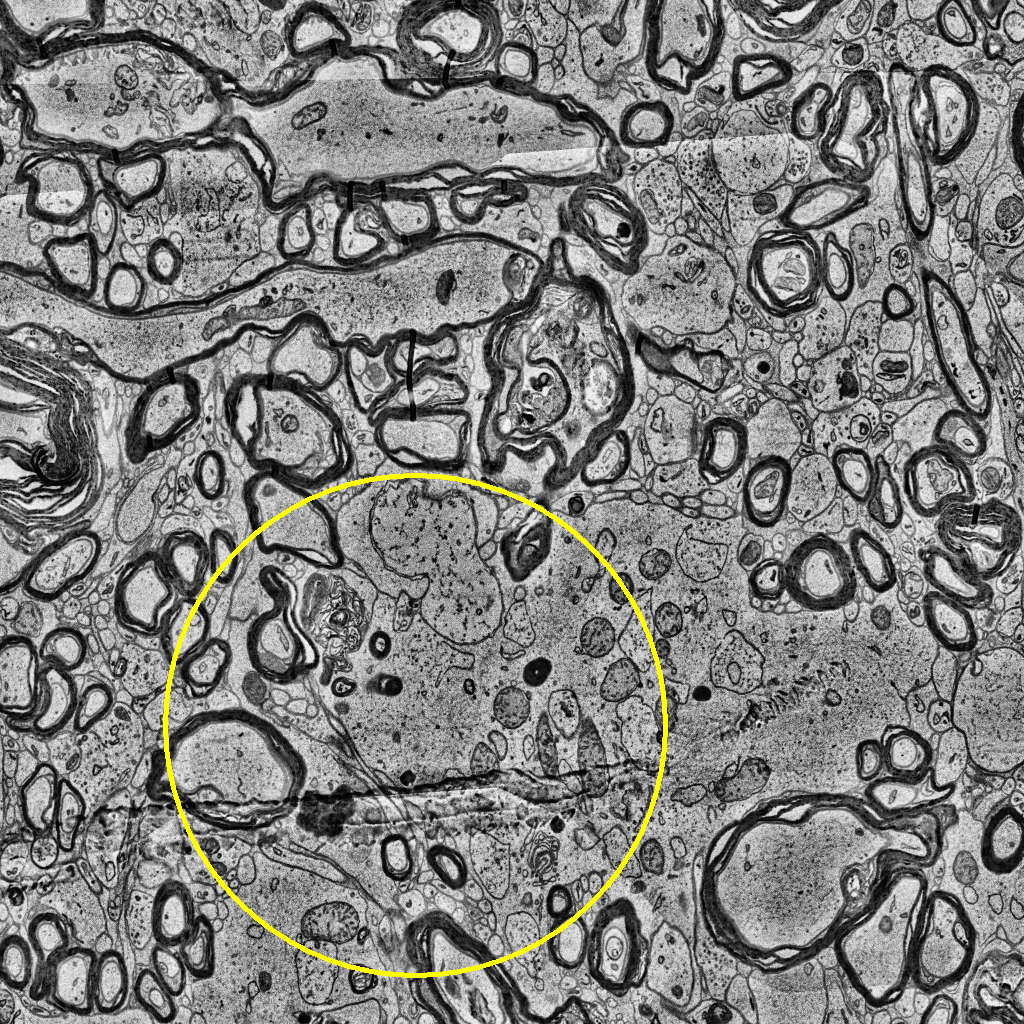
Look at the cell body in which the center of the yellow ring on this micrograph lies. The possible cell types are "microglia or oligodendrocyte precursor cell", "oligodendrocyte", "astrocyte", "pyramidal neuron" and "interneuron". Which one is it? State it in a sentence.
The cell at the middle of the ring is an astrocyte.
